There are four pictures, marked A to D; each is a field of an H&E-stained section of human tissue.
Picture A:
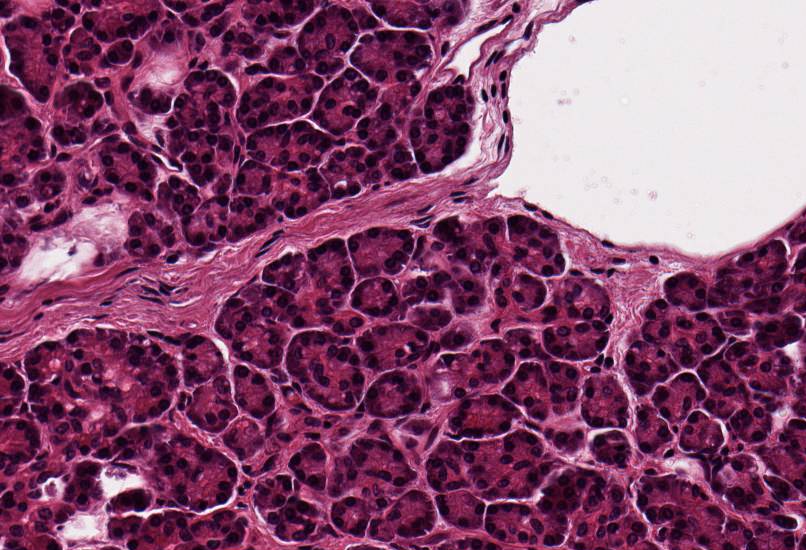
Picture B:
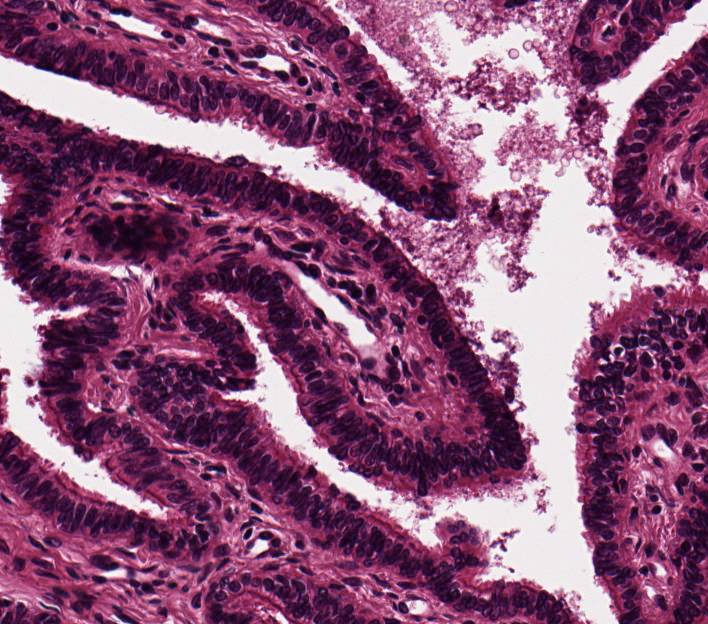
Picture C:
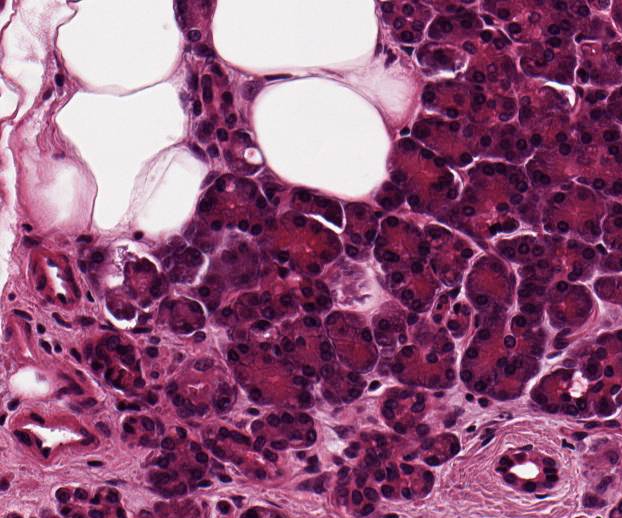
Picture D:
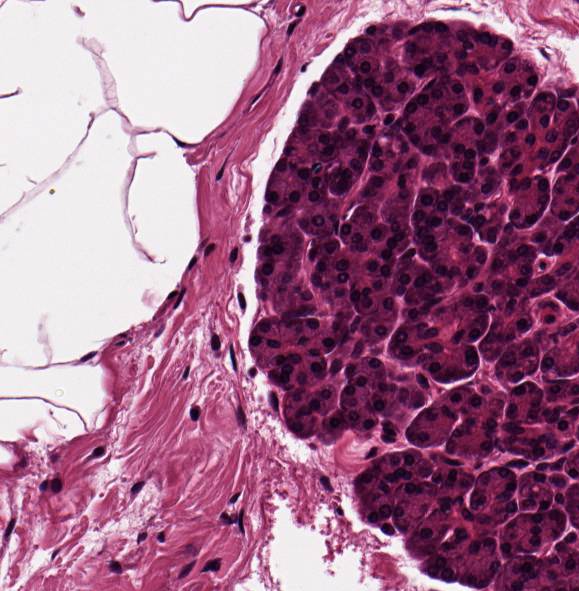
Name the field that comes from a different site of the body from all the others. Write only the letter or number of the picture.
B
